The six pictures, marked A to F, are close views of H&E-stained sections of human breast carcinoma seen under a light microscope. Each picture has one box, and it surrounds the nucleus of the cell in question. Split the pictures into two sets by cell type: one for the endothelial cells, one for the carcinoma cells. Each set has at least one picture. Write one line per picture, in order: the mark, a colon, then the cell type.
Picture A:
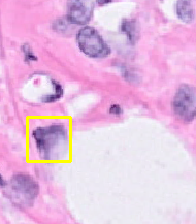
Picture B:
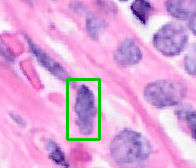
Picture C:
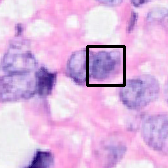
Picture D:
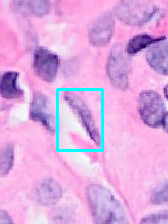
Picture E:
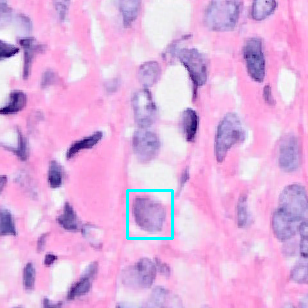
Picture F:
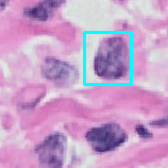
A: carcinoma cell
B: endothelial cell
C: carcinoma cell
D: endothelial cell
E: carcinoma cell
F: carcinoma cell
